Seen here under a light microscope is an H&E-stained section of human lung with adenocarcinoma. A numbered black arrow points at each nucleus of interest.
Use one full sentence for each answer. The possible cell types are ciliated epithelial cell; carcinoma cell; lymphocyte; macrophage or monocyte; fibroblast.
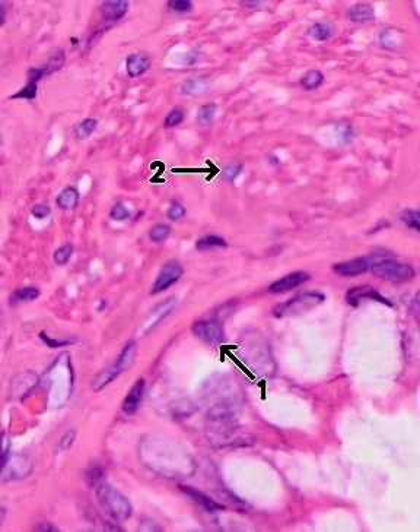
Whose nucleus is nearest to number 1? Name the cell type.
The cell nearest to number 1 is a ciliated epithelial cell.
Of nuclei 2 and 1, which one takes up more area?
The larger nucleus is 1, at roughly 2.5 times the area of 2.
